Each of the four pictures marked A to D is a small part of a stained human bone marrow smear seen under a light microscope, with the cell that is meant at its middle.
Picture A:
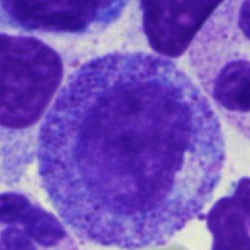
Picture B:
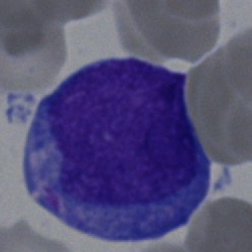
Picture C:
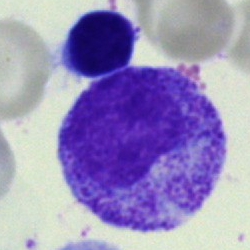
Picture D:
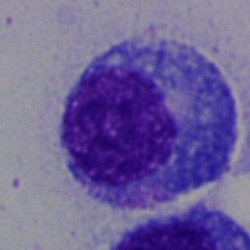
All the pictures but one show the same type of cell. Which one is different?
B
